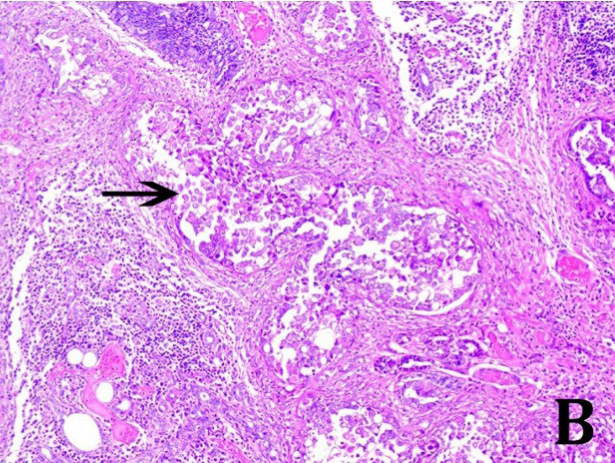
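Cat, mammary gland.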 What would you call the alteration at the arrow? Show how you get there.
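Rounded spaces bounded by fibrous stroma are filled with loosely arranged cells. These cells are separated from one another by clear gaps. On this evidence: in situ areas.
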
